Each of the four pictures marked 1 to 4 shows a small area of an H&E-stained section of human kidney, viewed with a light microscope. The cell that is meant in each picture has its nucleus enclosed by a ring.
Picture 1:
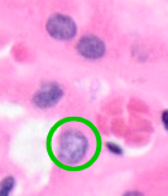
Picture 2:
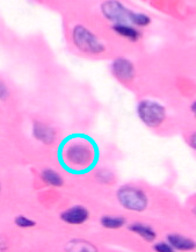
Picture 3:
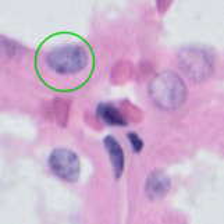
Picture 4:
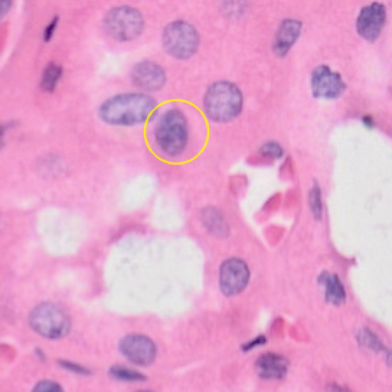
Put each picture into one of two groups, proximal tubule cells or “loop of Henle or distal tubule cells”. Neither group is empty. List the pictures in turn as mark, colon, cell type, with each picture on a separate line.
1: loop of Henle or distal tubule cell
2: loop of Henle or distal tubule cell
3: loop of Henle or distal tubule cell
4: proximal tubule cell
